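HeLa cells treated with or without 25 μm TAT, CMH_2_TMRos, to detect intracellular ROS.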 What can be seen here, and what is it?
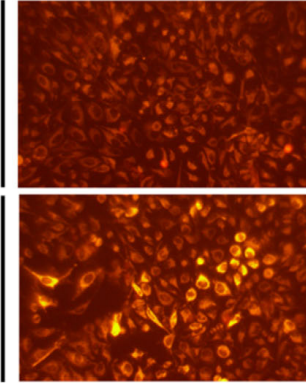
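Two fields of densely packed cultured epithelial-like cells with orange fluorescence throughout the cytoplasm; the nuclei appear as darker rounded areas in the centres of the cells. In the upper field the fluorescence is fairly even and dim across the monolayer. In the lower field many cells are bright yellow-orange, some in small clusters, and gaps free of cells are seen.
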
